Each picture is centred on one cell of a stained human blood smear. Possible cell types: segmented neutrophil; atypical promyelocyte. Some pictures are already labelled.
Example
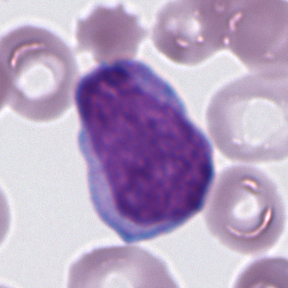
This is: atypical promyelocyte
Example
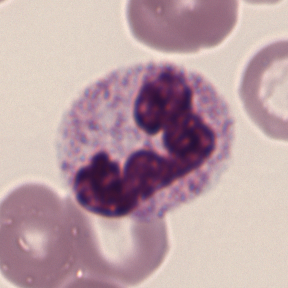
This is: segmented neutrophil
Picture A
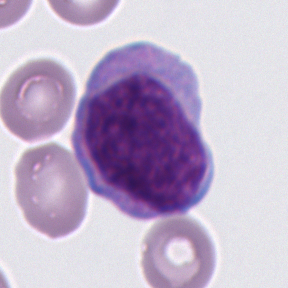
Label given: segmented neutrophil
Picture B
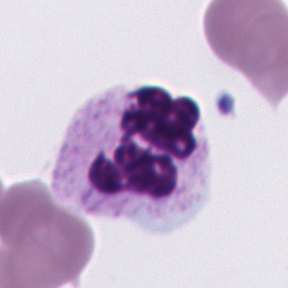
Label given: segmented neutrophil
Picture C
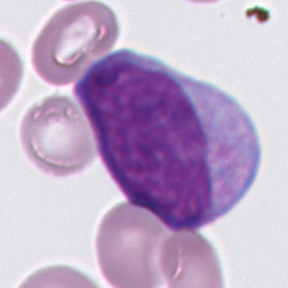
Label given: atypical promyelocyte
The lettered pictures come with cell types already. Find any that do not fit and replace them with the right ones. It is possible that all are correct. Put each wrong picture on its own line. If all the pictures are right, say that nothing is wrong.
A: atypical promyelocyte, not segmented neutrophil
